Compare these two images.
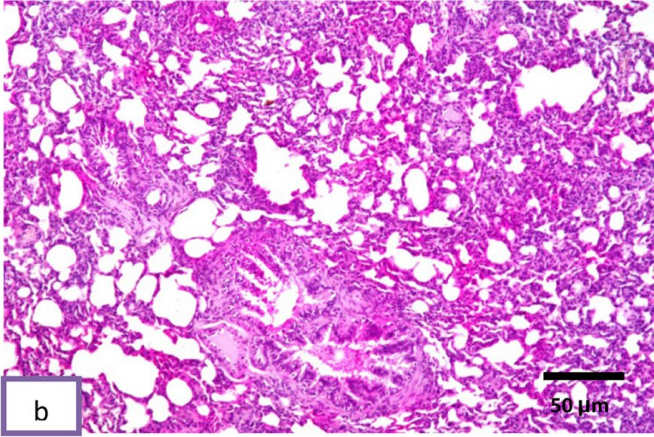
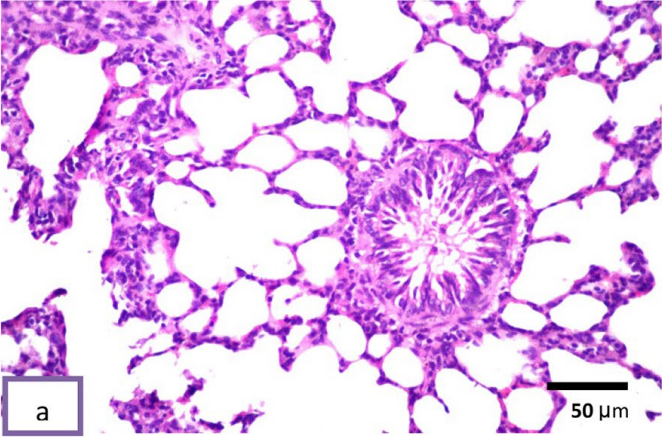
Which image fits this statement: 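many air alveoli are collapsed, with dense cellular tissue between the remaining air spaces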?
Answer: The first image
